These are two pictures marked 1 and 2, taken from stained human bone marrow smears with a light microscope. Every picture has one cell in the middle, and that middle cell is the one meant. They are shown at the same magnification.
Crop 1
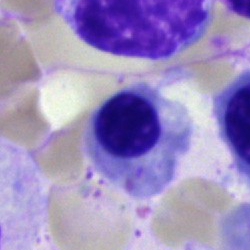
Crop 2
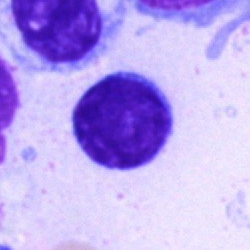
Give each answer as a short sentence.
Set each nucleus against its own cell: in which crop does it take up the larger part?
Of the two, the nucleus in crop 2 makes up the greater part of its cell.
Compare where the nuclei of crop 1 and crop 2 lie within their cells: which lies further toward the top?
Seen within its cell, the nucleus in crop 1 lies further toward the top.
